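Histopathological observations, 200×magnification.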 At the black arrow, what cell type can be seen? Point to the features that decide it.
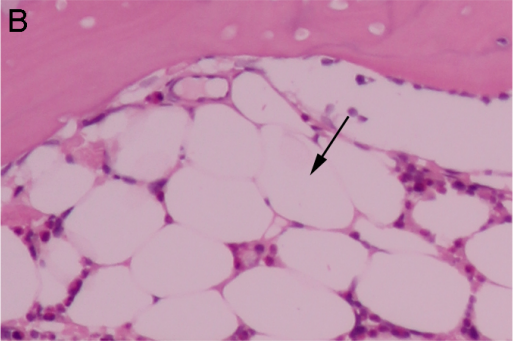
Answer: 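Fat cells. The arrow points to a large round clear space bounded by a thin membrane. Many such clear polygonal spaces lie packed together. Small purple and red cells sit in the narrow gaps between them.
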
